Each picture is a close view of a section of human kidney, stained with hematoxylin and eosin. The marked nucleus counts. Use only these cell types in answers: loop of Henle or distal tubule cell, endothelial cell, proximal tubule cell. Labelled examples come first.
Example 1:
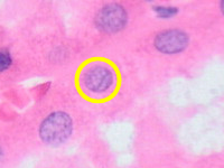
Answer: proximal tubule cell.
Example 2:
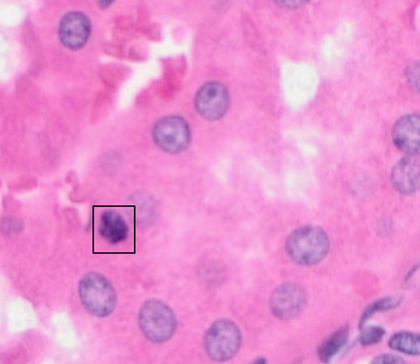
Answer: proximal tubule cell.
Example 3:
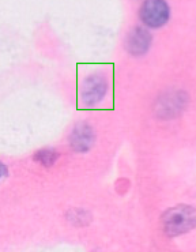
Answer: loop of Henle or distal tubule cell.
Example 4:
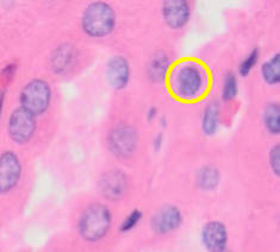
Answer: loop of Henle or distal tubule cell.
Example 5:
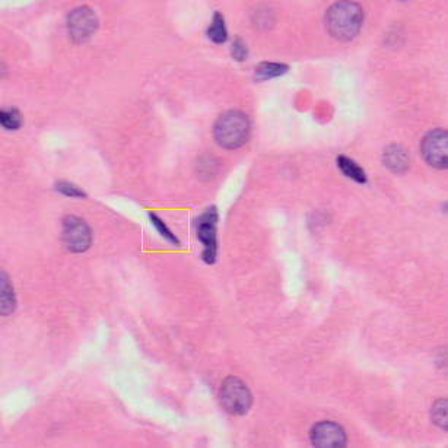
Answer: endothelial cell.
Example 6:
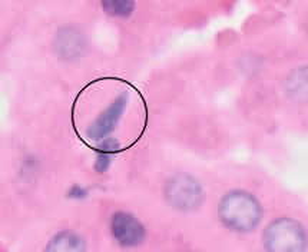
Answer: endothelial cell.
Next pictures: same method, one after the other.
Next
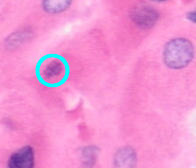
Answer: proximal tubule cell.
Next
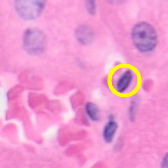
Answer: endothelial cell.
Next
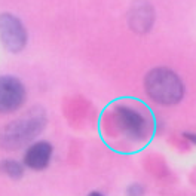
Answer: endothelial cell.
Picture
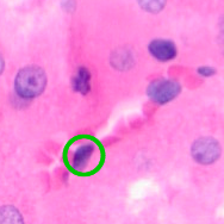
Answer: endothelial cell.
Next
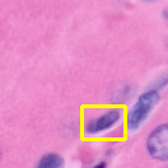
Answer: endothelial cell.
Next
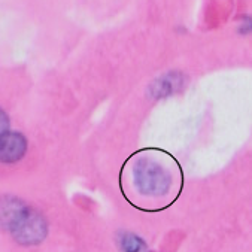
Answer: loop of Henle or distal tubule cell.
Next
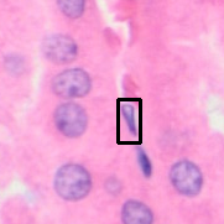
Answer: endothelial cell.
